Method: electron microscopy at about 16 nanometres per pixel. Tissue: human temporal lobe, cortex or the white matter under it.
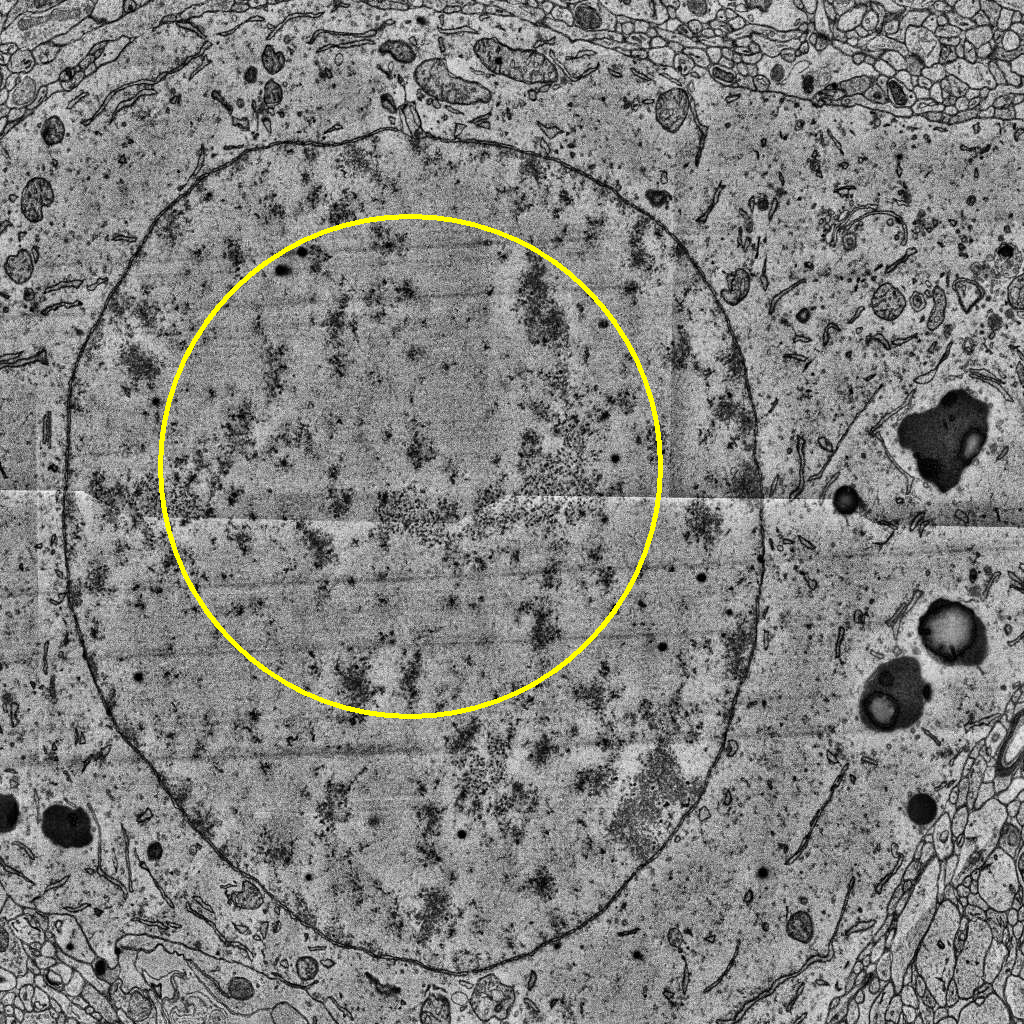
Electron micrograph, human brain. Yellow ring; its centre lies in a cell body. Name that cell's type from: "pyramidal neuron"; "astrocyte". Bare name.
pyramidal neuron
